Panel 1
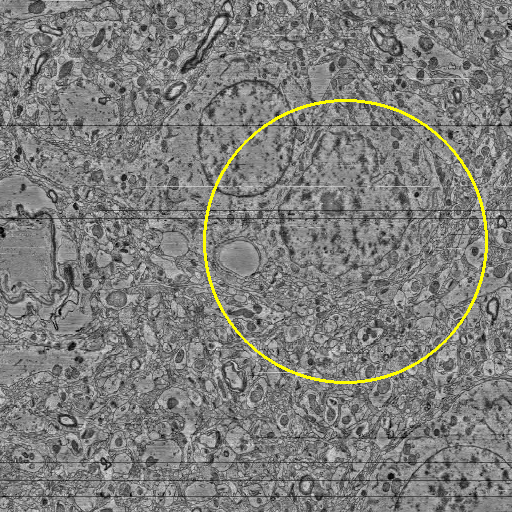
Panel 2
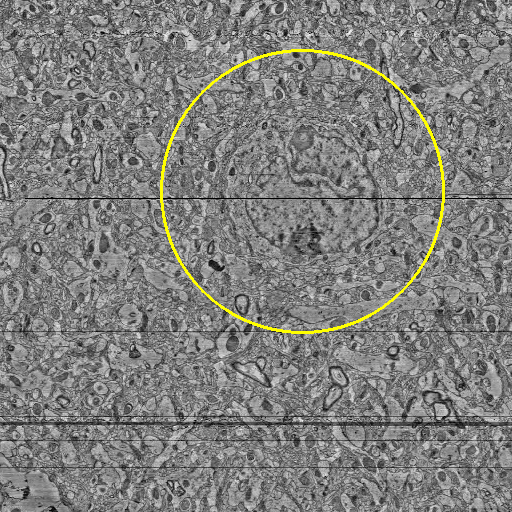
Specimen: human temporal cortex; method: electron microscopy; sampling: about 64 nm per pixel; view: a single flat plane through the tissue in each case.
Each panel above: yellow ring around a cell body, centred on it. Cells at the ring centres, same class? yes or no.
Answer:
yes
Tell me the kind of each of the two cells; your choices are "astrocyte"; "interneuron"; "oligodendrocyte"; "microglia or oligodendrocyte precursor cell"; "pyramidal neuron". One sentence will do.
Each one of the two ringed cells is an interneuron.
